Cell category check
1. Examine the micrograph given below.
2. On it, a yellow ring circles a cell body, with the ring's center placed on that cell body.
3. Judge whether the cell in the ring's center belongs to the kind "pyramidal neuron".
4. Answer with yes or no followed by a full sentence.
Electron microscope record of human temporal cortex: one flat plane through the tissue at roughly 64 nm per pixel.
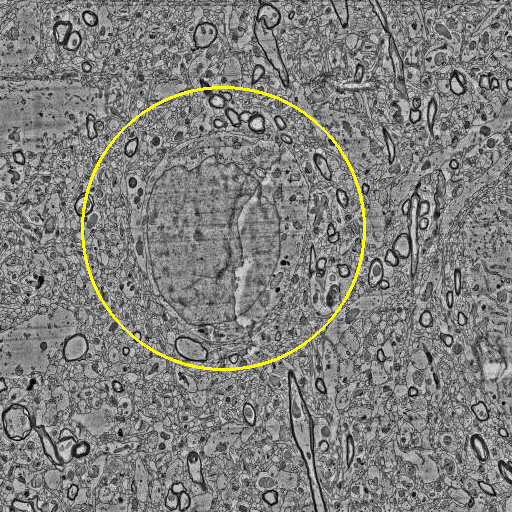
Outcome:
Yes, the cell at the center of the yellow ring belongs to that kind.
